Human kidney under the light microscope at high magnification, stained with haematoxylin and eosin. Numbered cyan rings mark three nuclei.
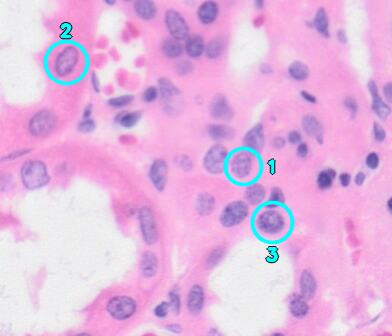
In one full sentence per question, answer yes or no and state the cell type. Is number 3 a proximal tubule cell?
No, it is a collecting duct cell, rather than a proximal tubule cell, that carries number 3.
